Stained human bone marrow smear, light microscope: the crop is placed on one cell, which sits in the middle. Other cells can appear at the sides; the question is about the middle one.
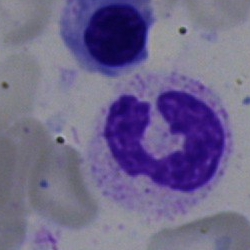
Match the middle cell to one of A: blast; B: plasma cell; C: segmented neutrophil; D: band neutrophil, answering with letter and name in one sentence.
The cell in the middle is correctly identified as a segmented neutrophil in option C.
